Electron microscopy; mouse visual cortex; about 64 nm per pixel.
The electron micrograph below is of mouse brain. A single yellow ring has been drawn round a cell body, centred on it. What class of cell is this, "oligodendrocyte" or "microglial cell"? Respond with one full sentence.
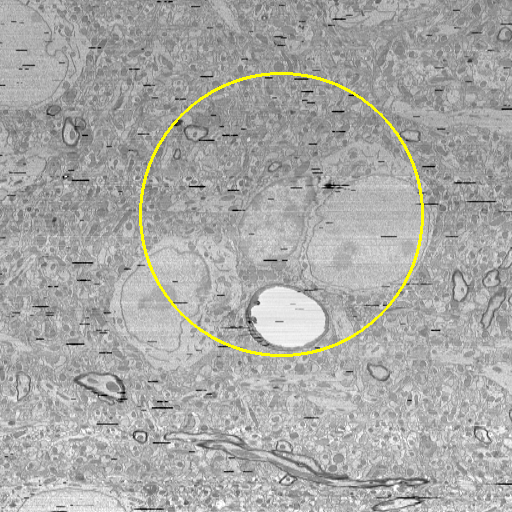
In the micrograph, the cell centred inside the yellow ring is an oligodendrocyte.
